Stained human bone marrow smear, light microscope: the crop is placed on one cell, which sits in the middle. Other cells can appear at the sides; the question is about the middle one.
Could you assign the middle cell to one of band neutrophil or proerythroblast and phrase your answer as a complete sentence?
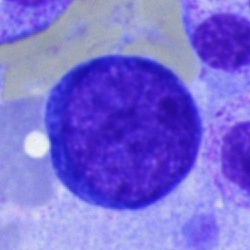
The central cell, amid any neighbouring cells, is a proerythroblast.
